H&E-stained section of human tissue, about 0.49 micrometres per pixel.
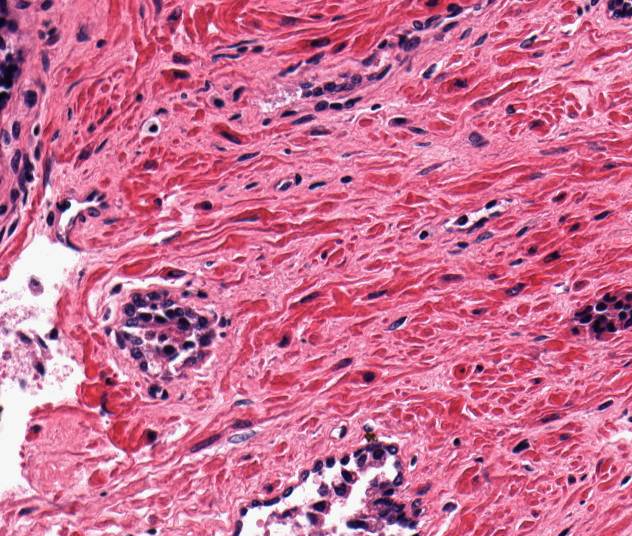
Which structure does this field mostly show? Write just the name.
fibromuscular stroma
